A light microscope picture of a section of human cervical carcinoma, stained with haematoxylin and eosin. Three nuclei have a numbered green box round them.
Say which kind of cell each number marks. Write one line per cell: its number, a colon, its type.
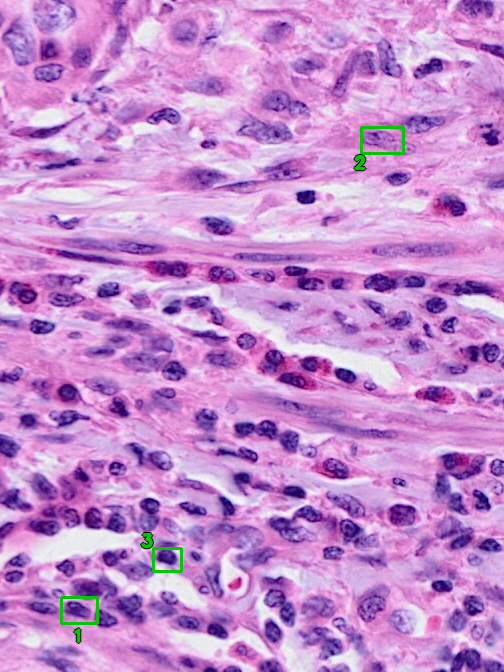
1: lymphocyte
2: endothelial cell
3: lymphocyte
